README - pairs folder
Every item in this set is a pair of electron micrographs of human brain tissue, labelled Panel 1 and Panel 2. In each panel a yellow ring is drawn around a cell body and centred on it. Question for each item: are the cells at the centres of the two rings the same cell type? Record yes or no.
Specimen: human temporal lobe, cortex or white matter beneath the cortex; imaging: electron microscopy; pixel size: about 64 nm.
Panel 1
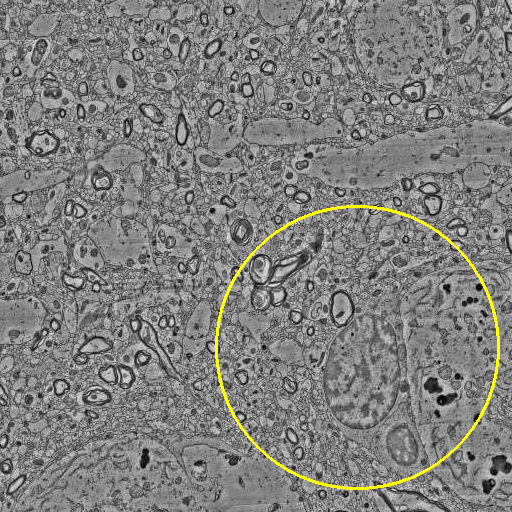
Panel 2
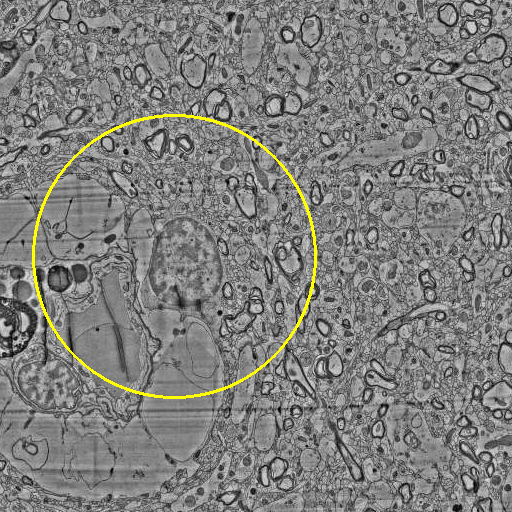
yes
